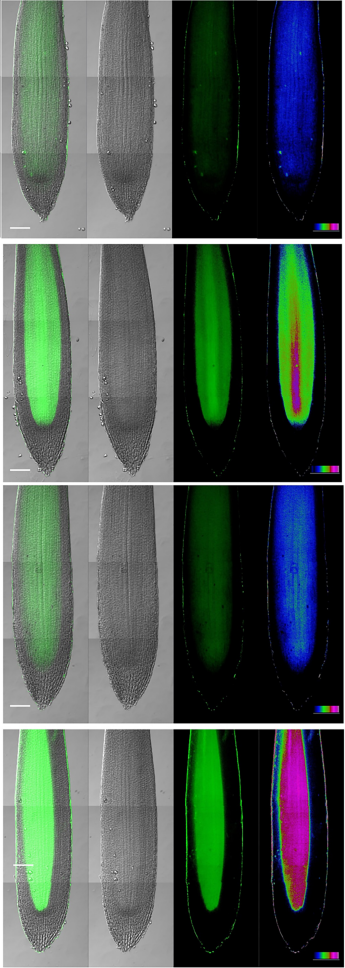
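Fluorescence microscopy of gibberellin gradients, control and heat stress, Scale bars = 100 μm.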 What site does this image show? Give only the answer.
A: Meristematic zones of roots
